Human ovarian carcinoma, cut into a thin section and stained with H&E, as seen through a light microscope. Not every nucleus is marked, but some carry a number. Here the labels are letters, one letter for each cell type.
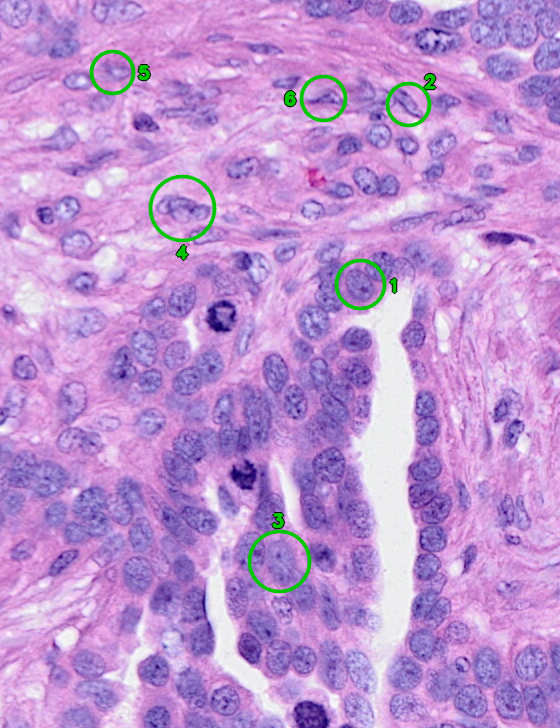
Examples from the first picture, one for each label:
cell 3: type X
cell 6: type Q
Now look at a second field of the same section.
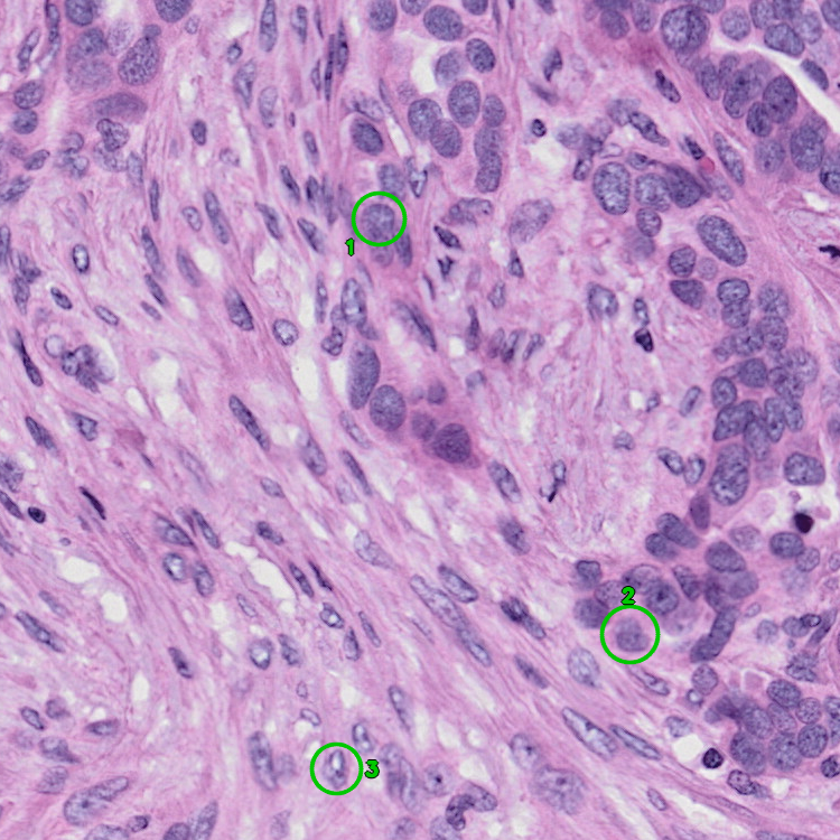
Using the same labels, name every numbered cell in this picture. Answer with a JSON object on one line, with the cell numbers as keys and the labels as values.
{"1": "type X", "2": "type X", "3": "type Q"}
